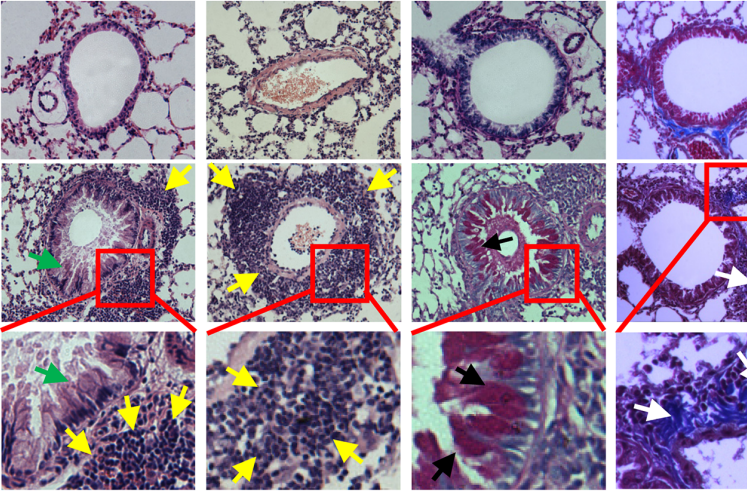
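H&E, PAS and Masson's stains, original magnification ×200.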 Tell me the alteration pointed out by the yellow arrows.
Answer: Inflammatory infiltrates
